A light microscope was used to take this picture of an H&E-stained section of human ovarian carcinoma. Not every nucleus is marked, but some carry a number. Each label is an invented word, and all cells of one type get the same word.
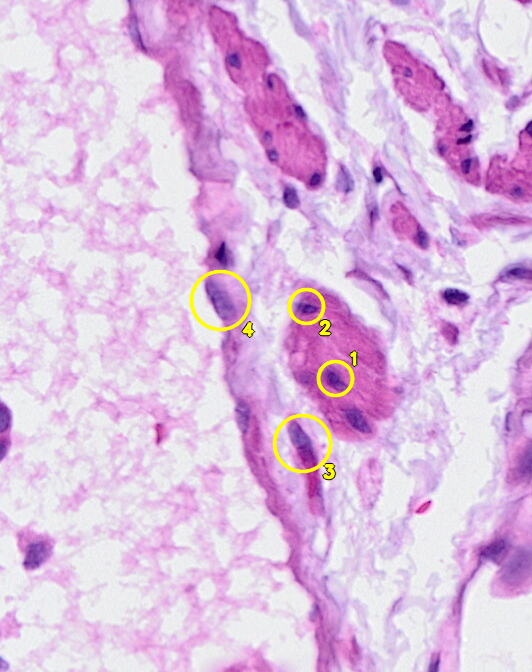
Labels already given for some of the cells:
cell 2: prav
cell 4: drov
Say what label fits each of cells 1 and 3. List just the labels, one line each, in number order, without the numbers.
prav
drov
